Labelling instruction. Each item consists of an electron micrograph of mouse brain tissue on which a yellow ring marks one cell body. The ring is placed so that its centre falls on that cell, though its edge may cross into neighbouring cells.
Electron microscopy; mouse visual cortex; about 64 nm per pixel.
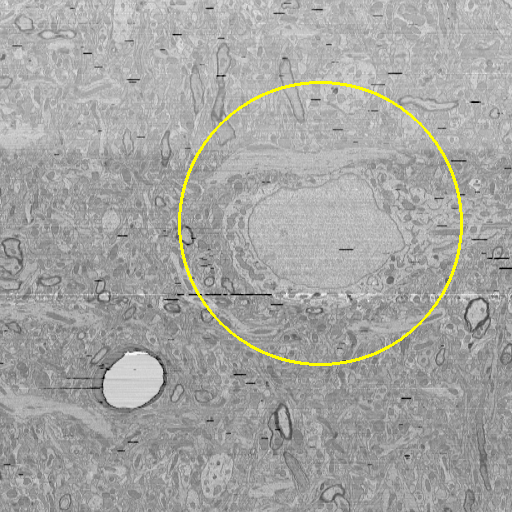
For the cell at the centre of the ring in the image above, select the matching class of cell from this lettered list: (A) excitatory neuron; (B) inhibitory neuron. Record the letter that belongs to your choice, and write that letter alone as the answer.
B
